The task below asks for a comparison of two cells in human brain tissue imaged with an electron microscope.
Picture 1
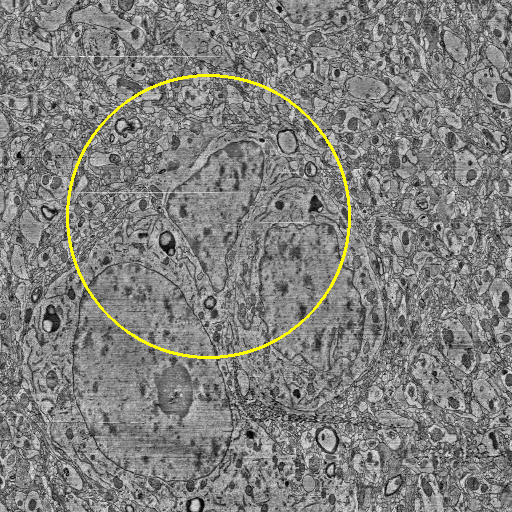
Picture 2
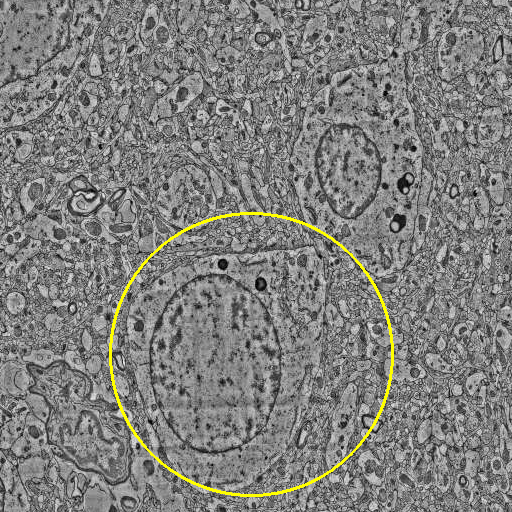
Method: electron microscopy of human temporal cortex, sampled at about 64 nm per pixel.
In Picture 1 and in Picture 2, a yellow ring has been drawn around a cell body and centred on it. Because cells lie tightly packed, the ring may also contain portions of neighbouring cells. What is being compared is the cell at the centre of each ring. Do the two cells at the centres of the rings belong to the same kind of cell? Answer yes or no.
no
